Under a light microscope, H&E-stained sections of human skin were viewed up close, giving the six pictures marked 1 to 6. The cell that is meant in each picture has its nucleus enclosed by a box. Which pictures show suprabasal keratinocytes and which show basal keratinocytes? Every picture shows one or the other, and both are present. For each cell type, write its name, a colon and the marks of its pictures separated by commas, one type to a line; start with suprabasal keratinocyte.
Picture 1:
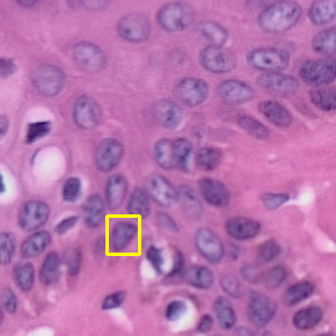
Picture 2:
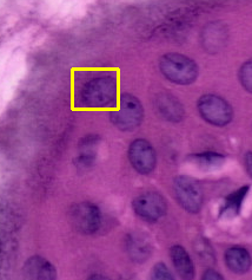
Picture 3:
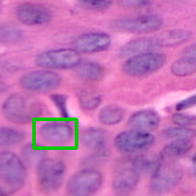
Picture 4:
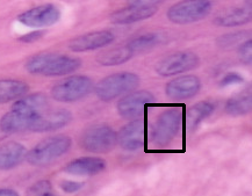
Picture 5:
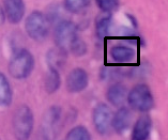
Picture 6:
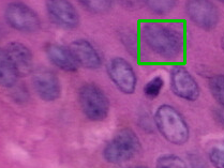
suprabasal keratinocyte: 2, 6
basal keratinocyte: 1, 3, 4, 5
